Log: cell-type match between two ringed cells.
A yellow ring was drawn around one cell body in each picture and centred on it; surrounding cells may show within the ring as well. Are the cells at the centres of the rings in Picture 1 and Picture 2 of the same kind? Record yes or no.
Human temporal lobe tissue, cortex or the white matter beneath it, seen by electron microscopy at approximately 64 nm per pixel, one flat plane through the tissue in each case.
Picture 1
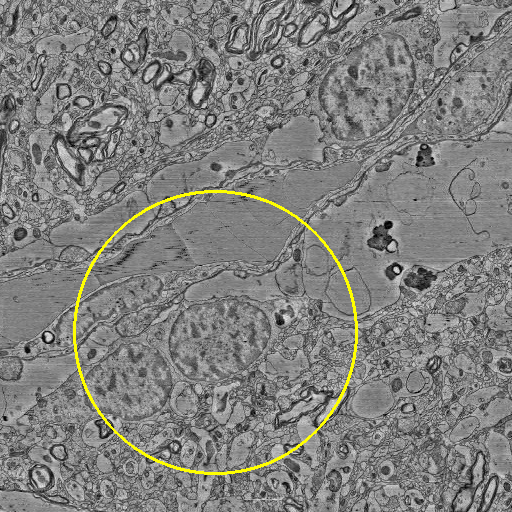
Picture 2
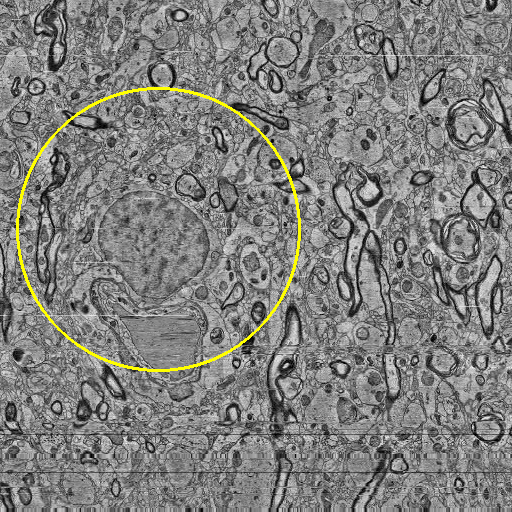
yes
